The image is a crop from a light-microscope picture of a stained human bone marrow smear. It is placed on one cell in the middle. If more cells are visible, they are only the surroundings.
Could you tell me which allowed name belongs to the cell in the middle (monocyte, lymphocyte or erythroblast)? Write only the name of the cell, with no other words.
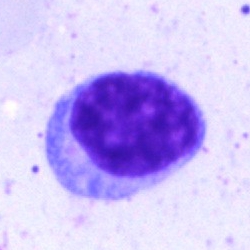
lymphocyte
